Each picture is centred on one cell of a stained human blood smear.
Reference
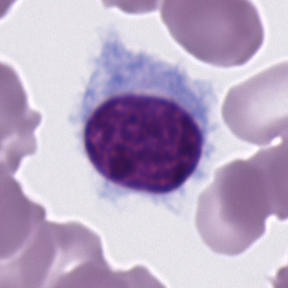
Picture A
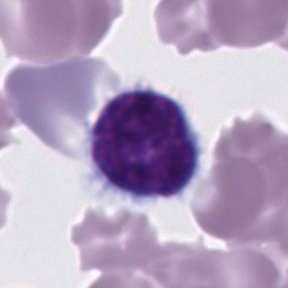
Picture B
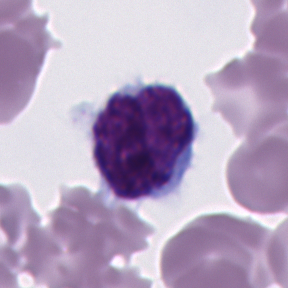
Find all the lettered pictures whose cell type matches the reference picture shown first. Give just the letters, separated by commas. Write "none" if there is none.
A, B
